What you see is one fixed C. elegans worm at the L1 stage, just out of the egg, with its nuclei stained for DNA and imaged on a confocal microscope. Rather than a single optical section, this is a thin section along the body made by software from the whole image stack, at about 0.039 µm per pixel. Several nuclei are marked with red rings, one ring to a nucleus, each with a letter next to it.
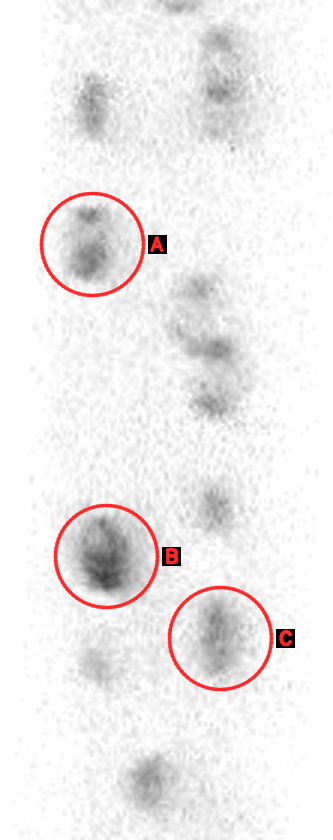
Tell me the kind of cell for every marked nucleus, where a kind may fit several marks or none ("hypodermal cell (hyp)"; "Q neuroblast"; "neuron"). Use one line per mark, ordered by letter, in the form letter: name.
A: hypodermal cell (hyp)
B: Q neuroblast
C: hypodermal cell (hyp)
